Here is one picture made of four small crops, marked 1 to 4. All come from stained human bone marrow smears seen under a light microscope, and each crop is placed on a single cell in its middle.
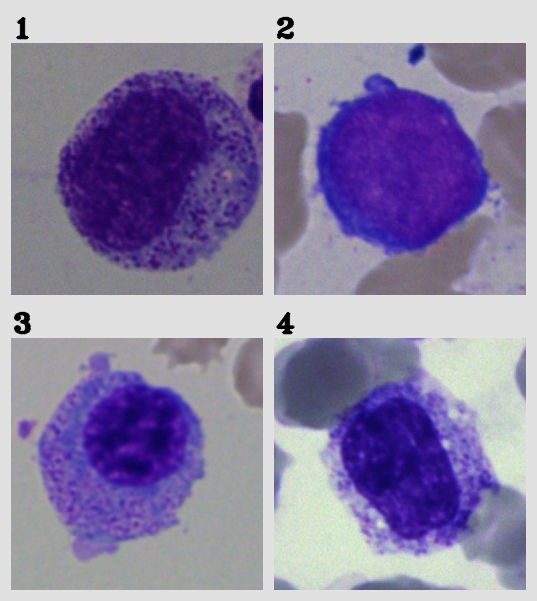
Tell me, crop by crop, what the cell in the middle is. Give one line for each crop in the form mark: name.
1: promyelocyte
2: proerythroblast
3: myelocyte
4: myelocyte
